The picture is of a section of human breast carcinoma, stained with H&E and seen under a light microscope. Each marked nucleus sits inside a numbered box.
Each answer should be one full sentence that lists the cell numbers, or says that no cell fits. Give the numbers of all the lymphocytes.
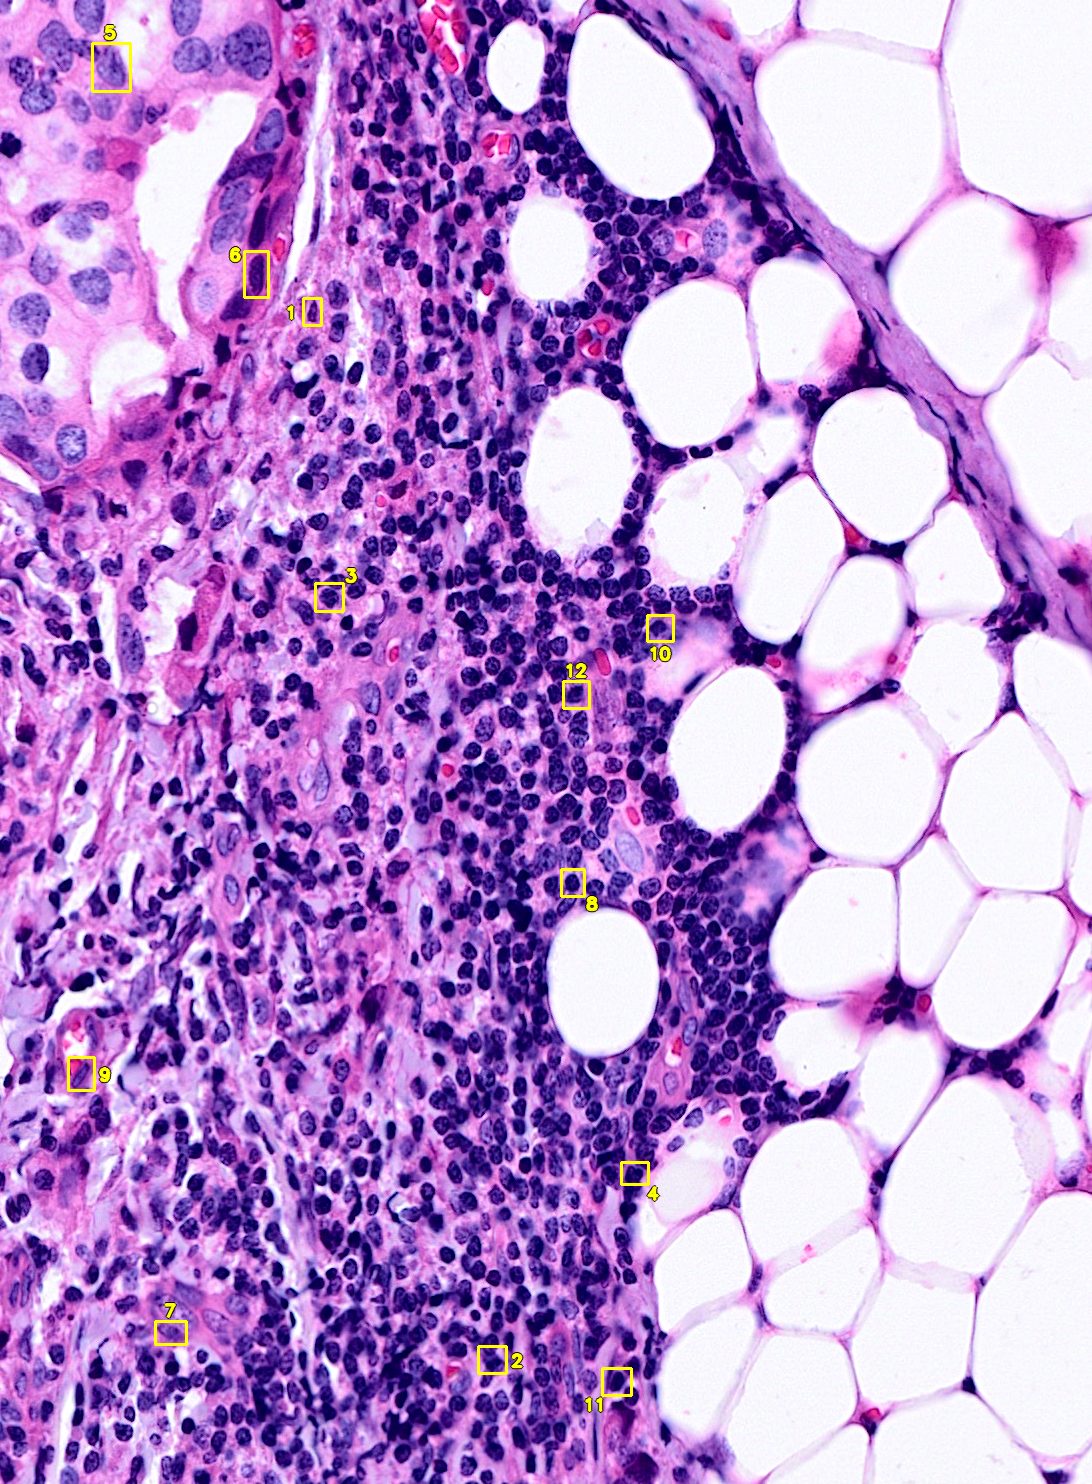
Into the category of lymphocytes fall the cells numbered 2, 3, 4, 8, 10, 11 and 12.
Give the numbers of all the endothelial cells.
The cells identified by the numbers 7 and 9 are endothelial cells.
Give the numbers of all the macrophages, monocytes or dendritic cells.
Only one marked cell, number 1, is a macrophage, monocyte or dendritic cell.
